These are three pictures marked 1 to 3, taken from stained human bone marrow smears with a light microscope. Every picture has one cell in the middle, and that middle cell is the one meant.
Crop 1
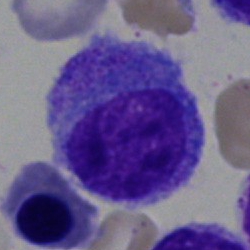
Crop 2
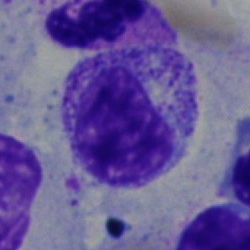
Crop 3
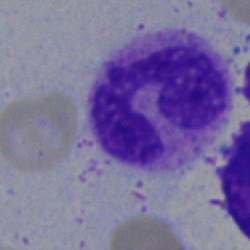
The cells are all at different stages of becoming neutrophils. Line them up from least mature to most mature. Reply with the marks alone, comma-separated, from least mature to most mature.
1, 2, 3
